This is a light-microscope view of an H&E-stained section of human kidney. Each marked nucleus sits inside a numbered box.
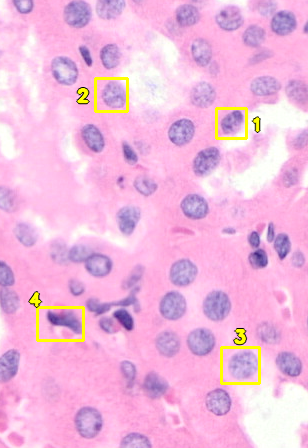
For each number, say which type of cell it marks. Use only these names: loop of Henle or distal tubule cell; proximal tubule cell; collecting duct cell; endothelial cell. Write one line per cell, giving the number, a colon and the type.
1: loop of Henle or distal tubule cell
2: loop of Henle or distal tubule cell
3: loop of Henle or distal tubule cell
4: endothelial cell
